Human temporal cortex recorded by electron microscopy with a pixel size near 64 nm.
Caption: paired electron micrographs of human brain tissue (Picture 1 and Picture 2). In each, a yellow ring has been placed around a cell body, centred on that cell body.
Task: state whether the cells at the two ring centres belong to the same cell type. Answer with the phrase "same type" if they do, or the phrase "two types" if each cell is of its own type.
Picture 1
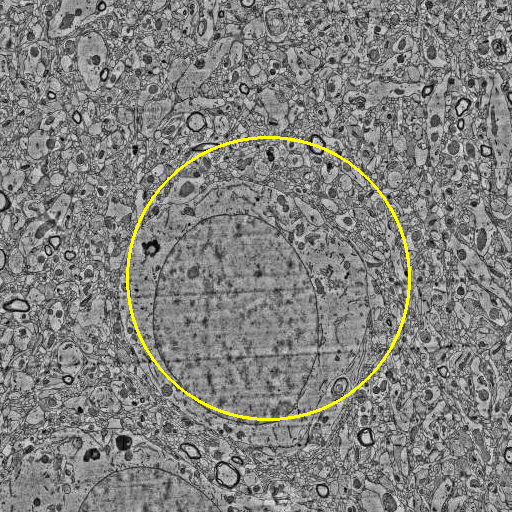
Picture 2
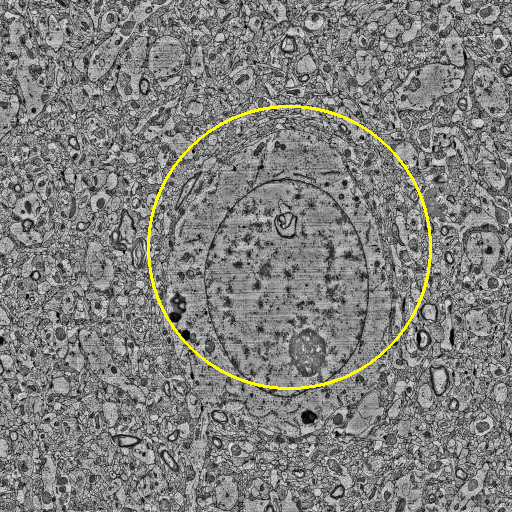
same type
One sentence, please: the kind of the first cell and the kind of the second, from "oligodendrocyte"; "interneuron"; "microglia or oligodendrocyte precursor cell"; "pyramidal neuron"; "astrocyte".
Both cells are the same kind, each one being a pyramidal neuron.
